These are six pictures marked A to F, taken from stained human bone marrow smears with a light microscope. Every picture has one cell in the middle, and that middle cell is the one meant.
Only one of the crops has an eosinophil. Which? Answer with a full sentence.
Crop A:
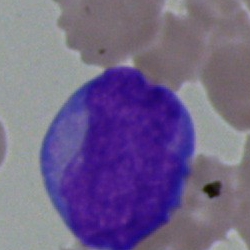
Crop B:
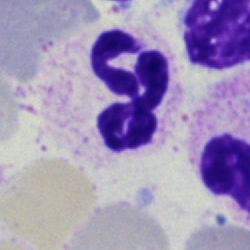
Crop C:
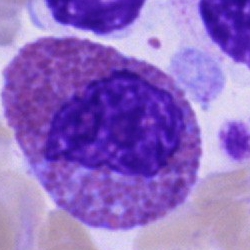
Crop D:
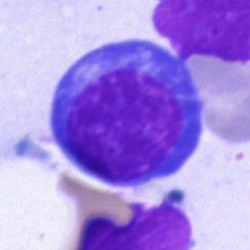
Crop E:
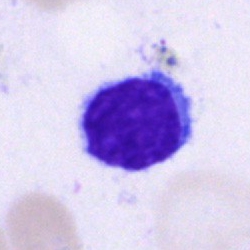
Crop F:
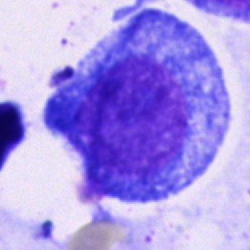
That would be crop C; it shows an eosinophil.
